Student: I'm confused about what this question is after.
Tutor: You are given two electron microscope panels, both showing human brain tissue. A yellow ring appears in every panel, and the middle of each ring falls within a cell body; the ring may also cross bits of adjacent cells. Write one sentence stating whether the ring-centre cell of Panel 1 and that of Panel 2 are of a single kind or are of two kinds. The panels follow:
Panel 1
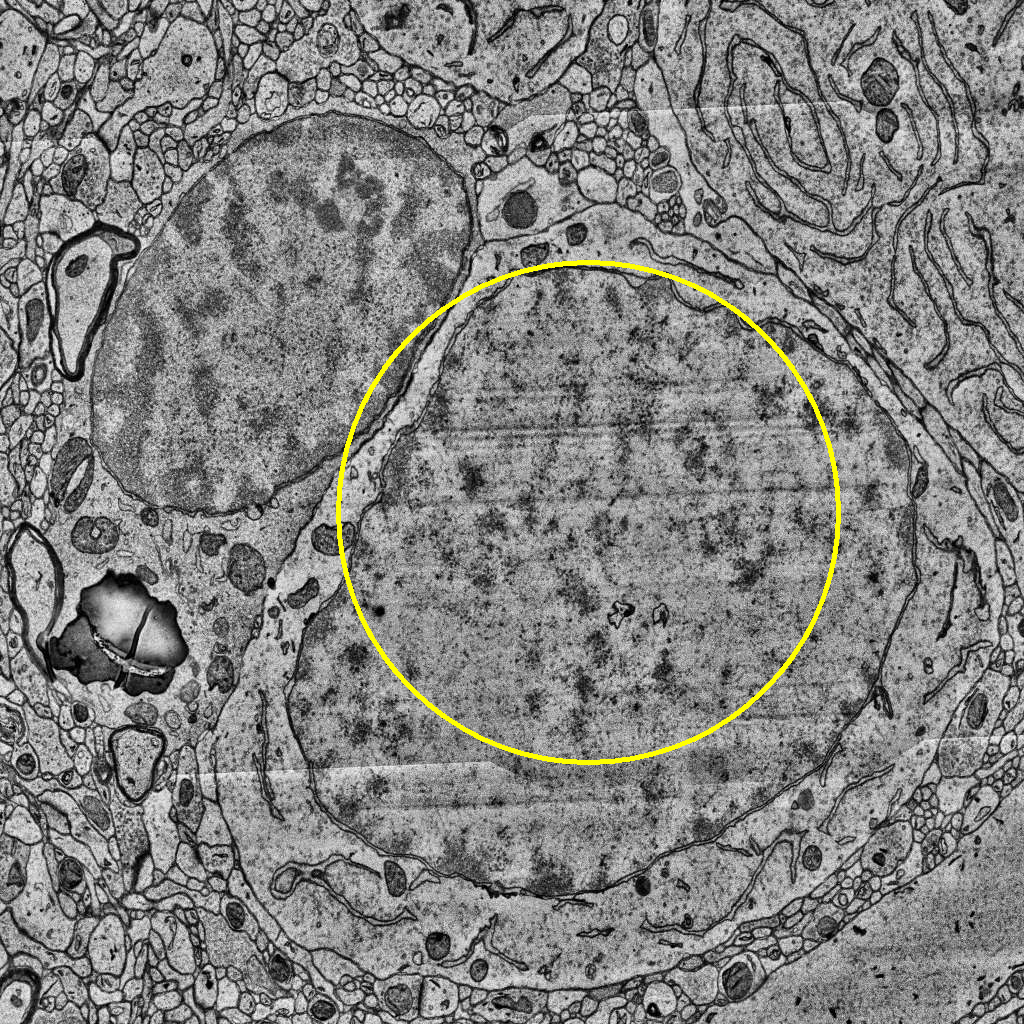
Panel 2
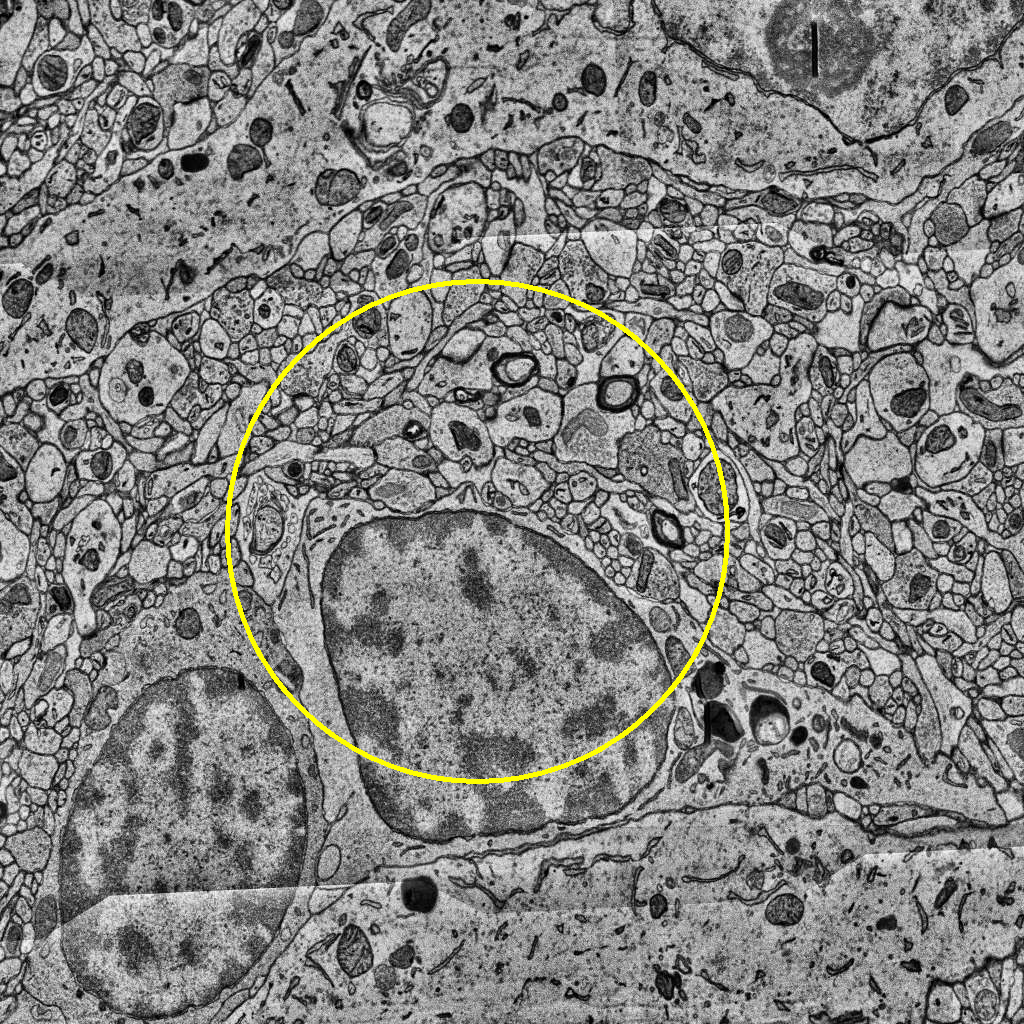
Here, the Panel 1 ring-centre cell and the Panel 2 ring-centre cell are of two kinds.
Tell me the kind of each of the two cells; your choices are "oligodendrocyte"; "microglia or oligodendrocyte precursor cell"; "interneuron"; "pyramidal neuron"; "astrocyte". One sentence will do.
The cell at the centre of the ring is an interneuron in the first picture and a microglial cell or oligodendrocyte precursor cell in the second.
